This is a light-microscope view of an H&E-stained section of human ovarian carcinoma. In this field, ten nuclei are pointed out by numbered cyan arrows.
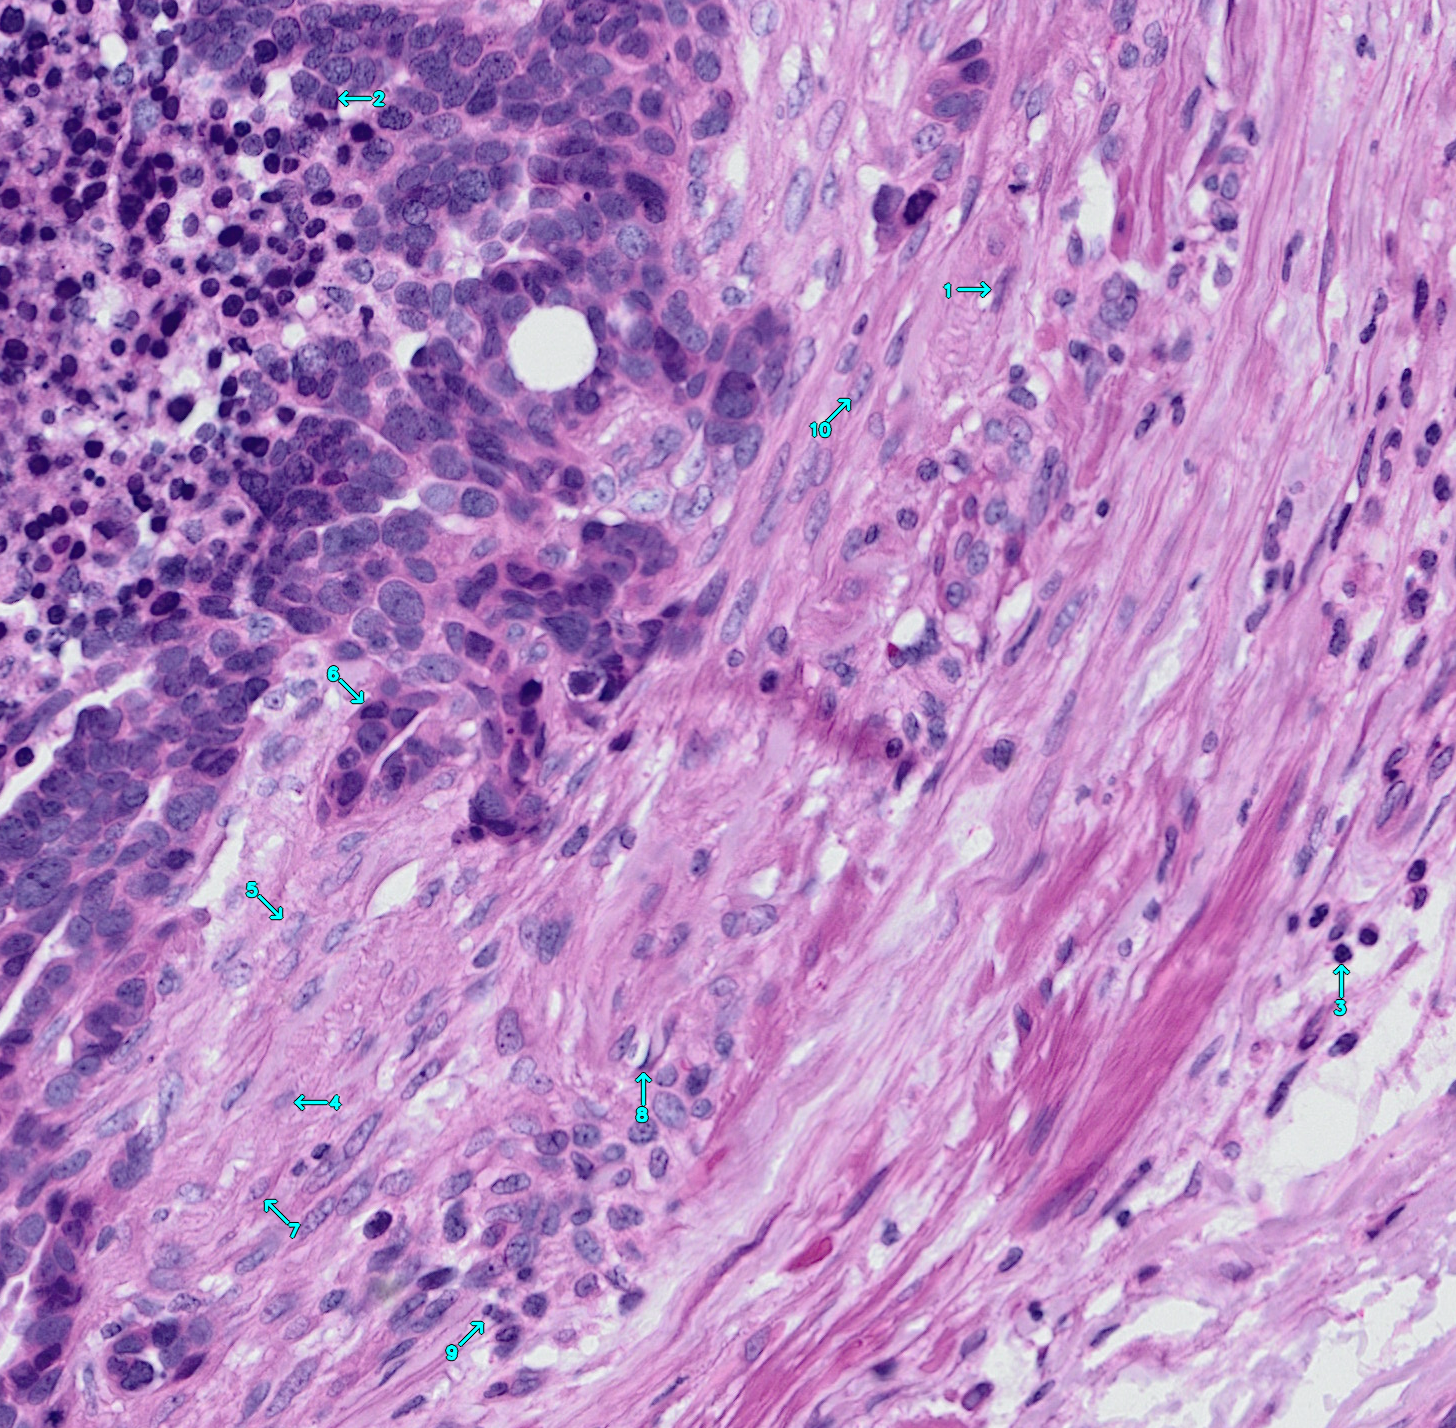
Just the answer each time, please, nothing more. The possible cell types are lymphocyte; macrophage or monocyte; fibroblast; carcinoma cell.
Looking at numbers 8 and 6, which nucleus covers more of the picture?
6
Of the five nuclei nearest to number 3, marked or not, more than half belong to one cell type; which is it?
macrophage or monocyte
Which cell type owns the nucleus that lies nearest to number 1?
fibroblast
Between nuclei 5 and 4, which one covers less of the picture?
4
